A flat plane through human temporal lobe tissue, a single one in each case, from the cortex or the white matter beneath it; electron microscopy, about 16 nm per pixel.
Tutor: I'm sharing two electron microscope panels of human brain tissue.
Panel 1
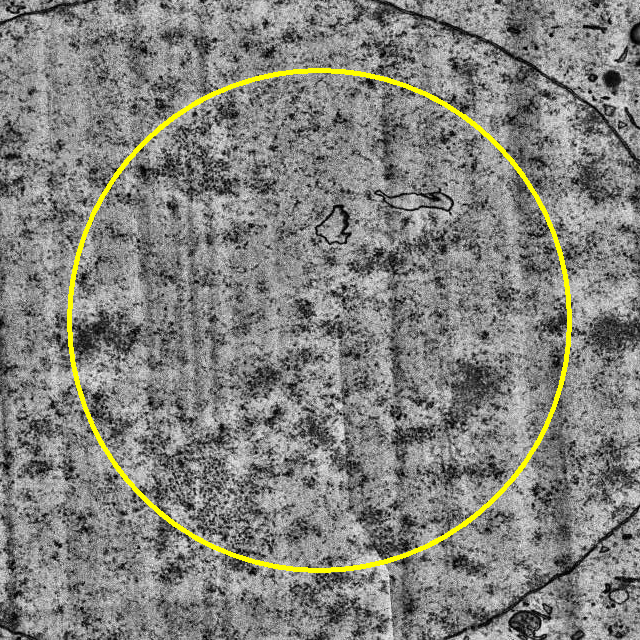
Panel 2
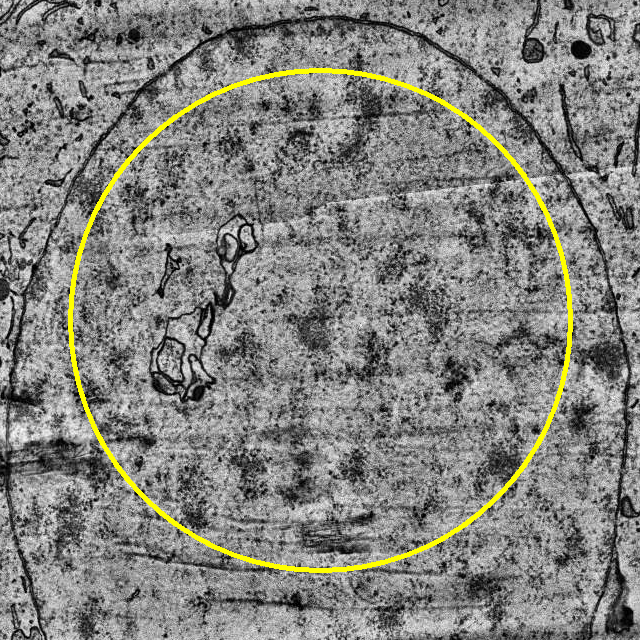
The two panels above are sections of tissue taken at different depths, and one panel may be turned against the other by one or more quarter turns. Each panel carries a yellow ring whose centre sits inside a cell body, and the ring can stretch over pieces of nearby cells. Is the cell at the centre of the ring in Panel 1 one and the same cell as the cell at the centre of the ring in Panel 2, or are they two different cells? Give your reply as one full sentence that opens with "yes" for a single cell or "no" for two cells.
Yes, both marked profiles belong to the very same cell.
